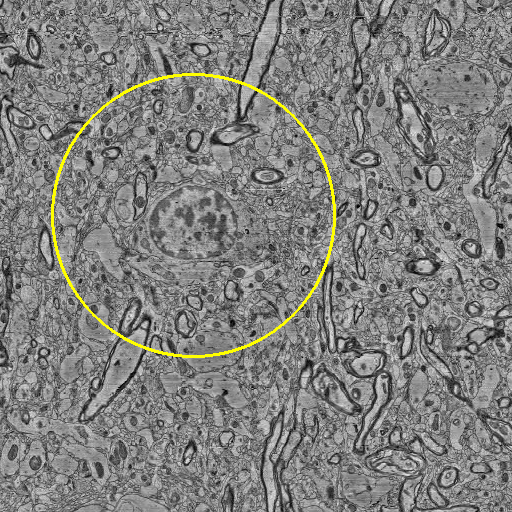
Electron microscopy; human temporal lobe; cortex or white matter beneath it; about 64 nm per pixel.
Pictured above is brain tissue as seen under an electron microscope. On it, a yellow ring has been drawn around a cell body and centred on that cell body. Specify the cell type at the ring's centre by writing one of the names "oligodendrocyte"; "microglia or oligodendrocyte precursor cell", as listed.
oligodendrocyte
